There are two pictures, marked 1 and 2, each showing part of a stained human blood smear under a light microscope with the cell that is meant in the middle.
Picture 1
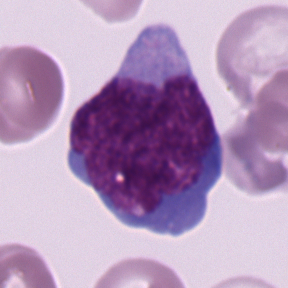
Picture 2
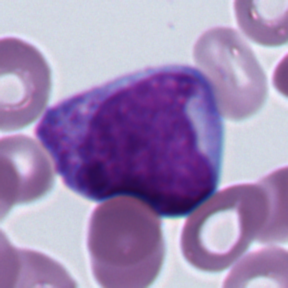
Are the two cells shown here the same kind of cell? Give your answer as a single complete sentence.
No, picture 1 shows a myeloblast and picture 2 shows an atypical promyelocyte.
